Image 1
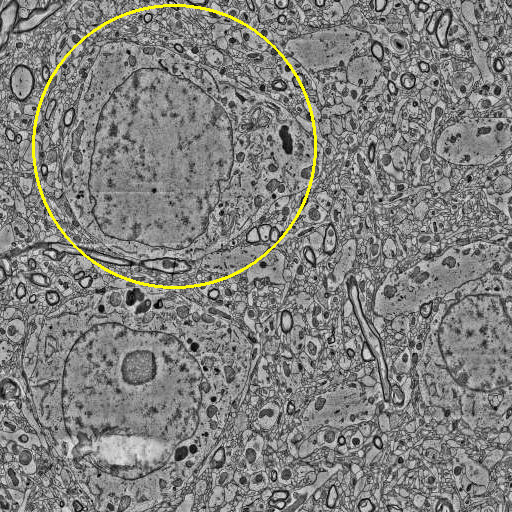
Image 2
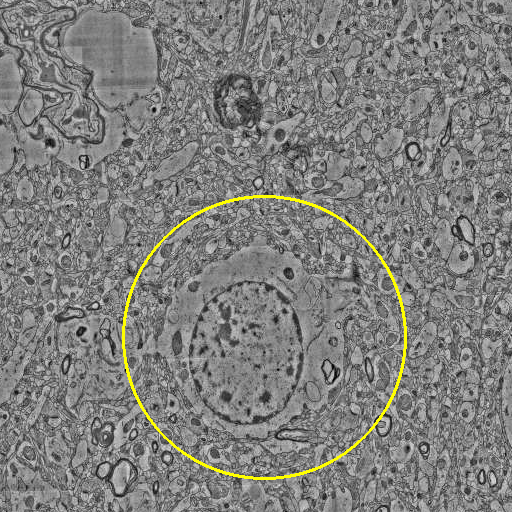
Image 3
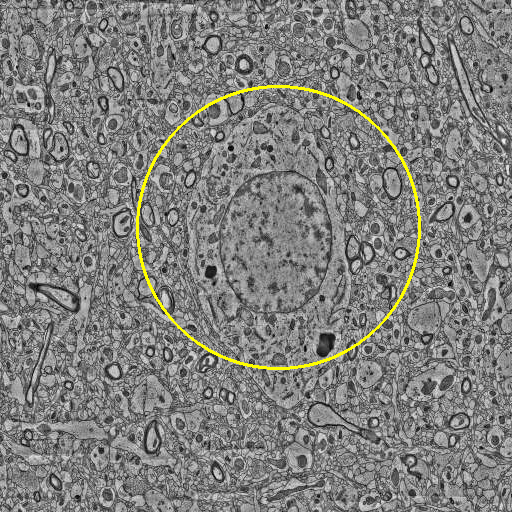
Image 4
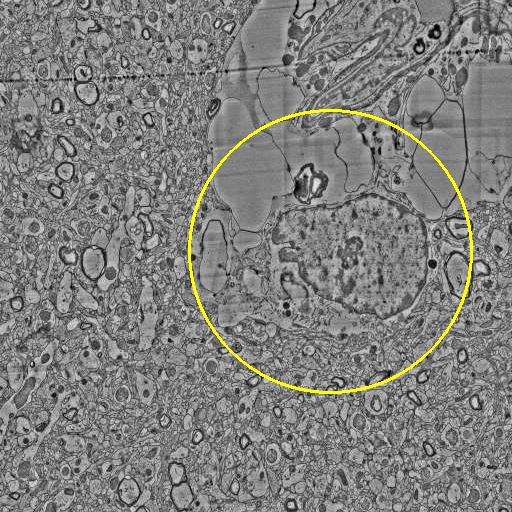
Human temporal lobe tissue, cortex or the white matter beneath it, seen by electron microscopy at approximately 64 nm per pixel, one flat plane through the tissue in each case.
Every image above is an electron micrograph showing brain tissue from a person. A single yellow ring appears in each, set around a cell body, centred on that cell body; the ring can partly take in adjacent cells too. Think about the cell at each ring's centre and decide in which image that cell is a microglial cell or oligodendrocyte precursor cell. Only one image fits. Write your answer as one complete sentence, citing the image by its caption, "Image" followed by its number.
Image 4 is the one whose ringed central cell fits the description.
